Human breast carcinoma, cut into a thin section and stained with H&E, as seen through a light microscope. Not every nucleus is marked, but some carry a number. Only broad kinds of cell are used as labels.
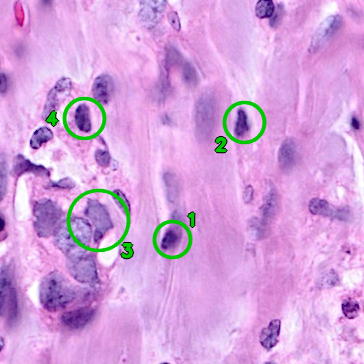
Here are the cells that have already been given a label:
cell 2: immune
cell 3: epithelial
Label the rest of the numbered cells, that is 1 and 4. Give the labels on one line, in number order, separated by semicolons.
immune; immune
